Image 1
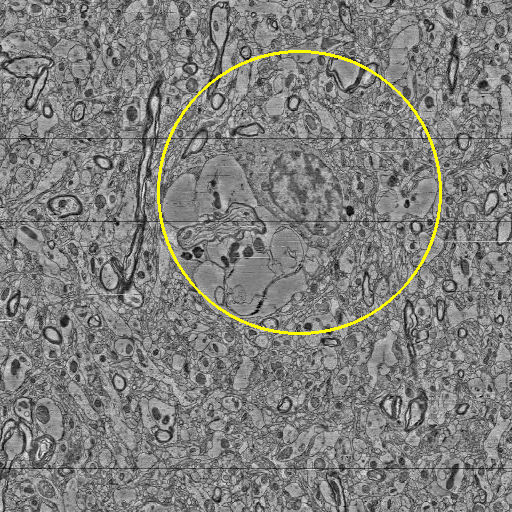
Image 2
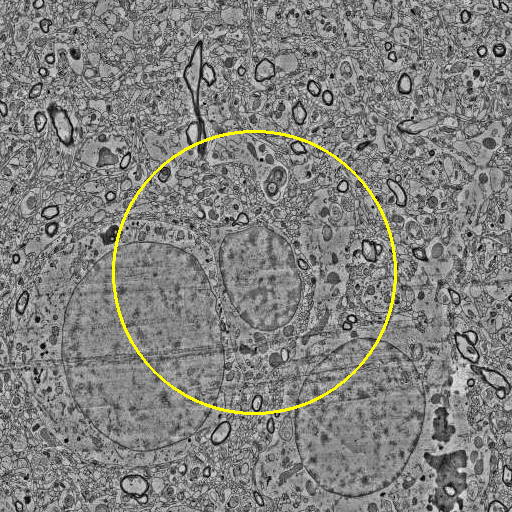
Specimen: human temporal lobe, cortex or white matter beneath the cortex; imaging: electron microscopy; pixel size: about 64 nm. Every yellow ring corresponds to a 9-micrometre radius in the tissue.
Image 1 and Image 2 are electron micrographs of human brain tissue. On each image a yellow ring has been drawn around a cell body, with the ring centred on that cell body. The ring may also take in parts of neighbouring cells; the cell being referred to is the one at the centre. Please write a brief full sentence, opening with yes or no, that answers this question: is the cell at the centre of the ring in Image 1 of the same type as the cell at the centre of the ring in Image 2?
Yes, both cells are of the same type.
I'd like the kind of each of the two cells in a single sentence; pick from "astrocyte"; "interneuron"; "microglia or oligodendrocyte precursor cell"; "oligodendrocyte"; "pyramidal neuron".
Each of the two cells is an oligodendrocyte.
